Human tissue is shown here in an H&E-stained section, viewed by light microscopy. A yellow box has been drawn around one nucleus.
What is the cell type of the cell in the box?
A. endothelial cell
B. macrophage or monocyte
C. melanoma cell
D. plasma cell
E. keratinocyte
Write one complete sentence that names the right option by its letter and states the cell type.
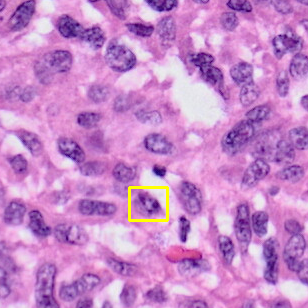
Option C gets it right: the cell in the box is a melanoma cell.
